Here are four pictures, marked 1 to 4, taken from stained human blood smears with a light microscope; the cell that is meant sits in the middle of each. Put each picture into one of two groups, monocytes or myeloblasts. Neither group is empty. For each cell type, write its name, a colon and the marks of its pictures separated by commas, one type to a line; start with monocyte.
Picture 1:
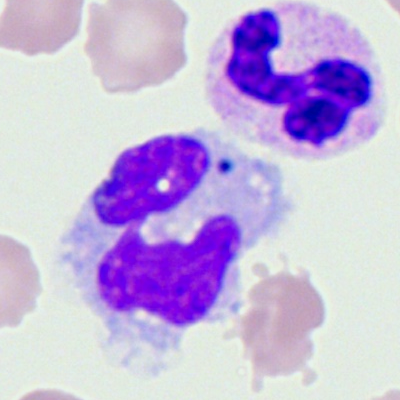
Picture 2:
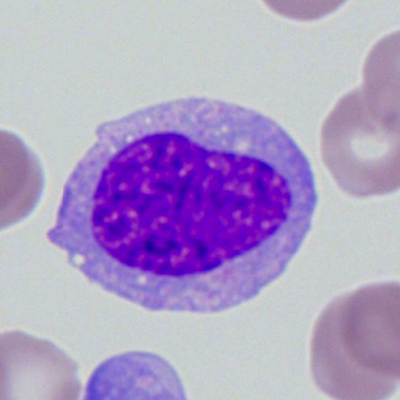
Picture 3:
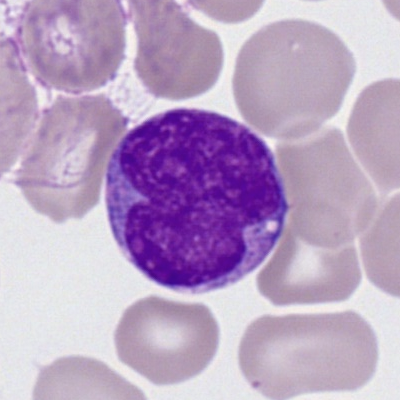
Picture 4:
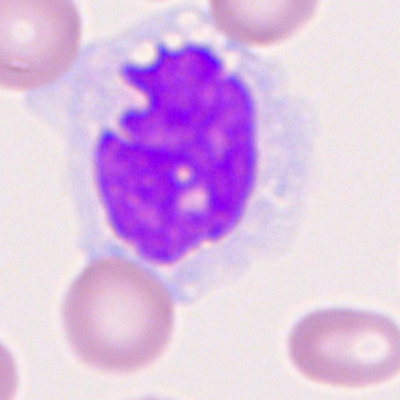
monocyte: 1, 2, 4
myeloblast: 3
